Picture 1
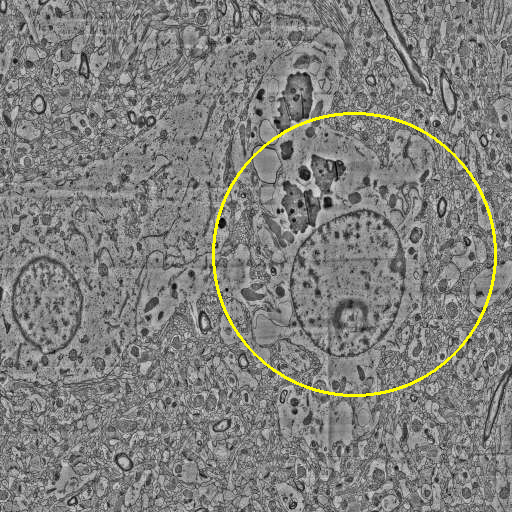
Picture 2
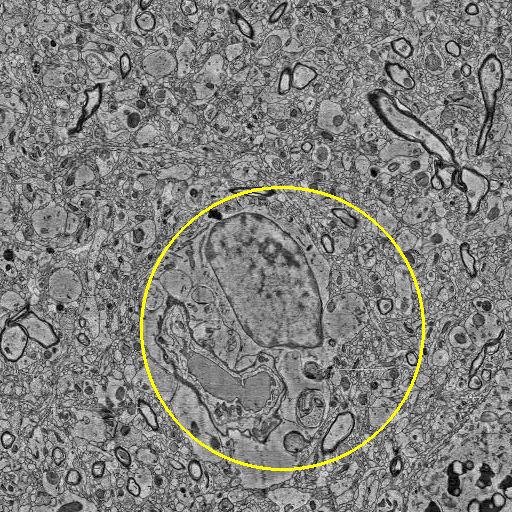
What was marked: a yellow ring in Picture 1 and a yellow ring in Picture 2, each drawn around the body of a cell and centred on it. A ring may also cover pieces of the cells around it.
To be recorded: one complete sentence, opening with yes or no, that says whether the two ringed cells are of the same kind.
No, the two ringed cells are of two kinds.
